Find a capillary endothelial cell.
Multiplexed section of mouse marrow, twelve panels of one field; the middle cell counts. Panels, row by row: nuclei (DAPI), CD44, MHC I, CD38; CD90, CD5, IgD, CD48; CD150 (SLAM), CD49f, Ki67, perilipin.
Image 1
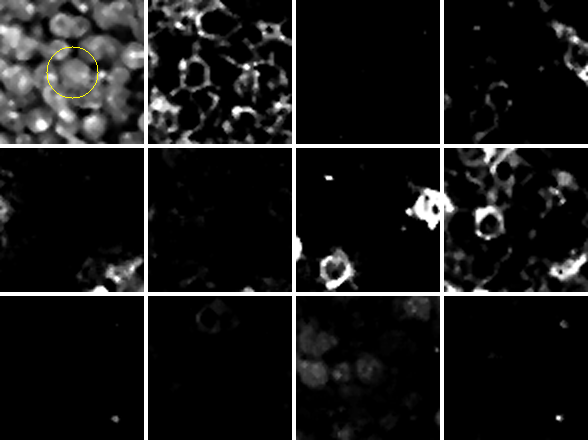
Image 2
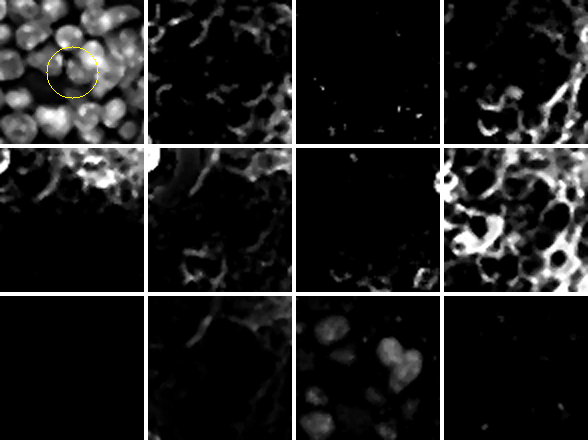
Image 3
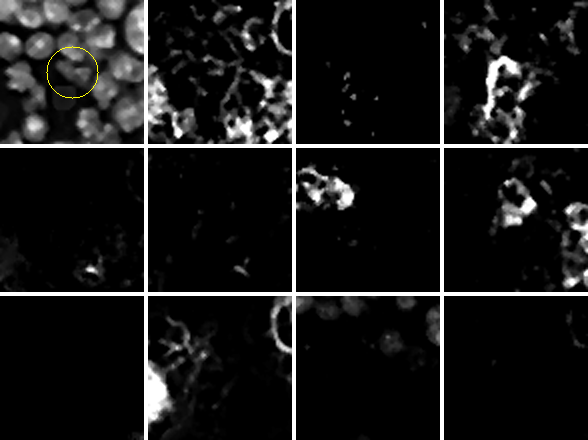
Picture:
3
